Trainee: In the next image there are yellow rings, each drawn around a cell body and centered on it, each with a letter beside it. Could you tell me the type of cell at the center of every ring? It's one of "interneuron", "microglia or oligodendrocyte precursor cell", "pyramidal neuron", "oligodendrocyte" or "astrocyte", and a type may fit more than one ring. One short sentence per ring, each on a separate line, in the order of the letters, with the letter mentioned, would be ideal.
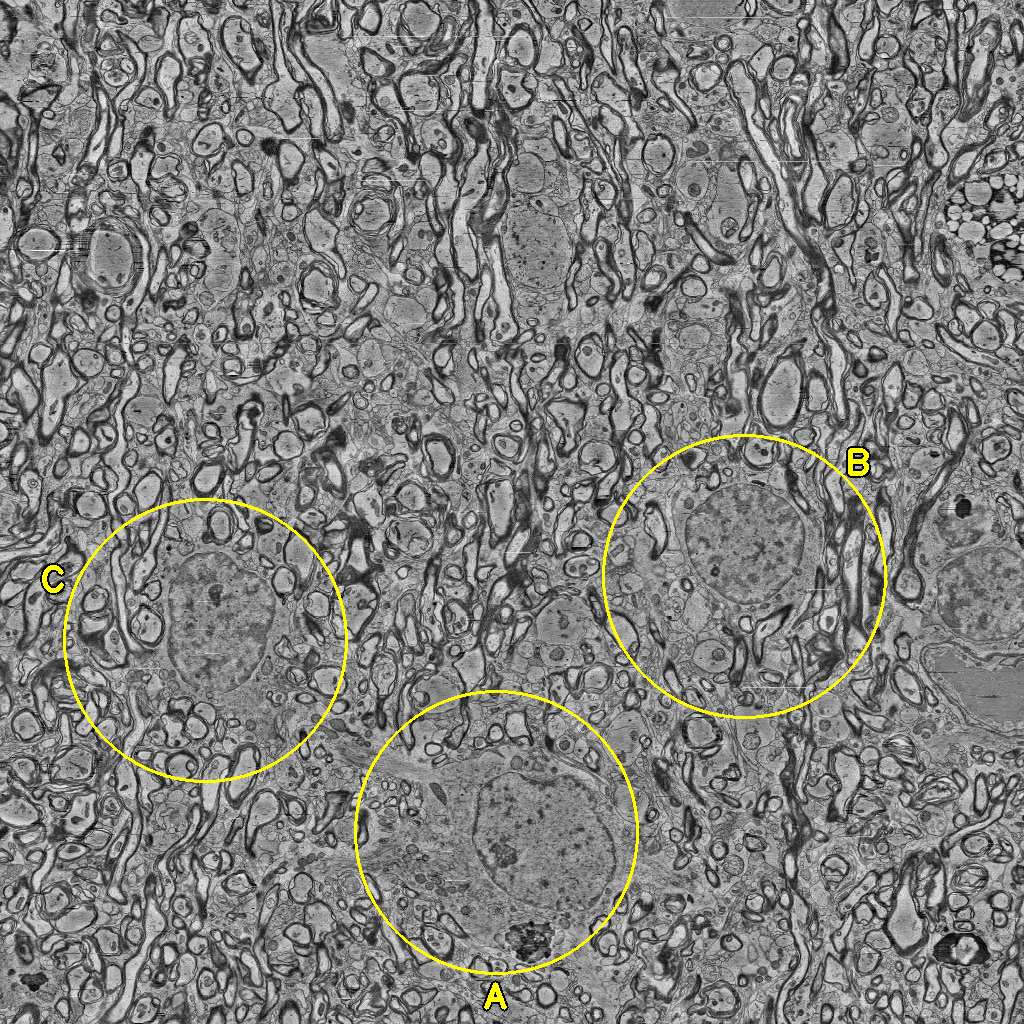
What ring A is centered on is an astrocyte.
What ring B is centered on is an oligodendrocyte.
What ring C is centered on is an oligodendrocyte.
